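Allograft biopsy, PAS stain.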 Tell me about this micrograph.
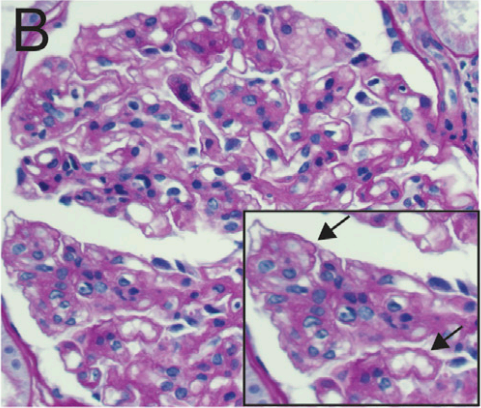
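A glomerulus is shown in magenta-stained sections, its tuft of capillary loops crowded with blue nuclei of mesangial and endothelial cells and surrounded by a thin capsule. The capillary walls are thick and magenta, and in the enlarged inset several loop walls show doubled magenta contours separated by pale lines.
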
